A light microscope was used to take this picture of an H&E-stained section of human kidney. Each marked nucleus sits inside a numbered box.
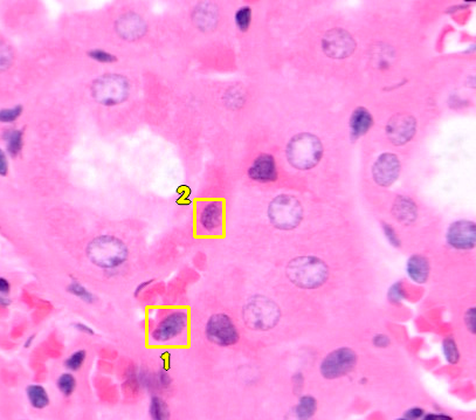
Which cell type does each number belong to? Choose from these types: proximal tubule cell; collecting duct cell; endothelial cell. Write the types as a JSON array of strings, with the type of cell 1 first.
["endothelial cell", "proximal tubule cell"]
